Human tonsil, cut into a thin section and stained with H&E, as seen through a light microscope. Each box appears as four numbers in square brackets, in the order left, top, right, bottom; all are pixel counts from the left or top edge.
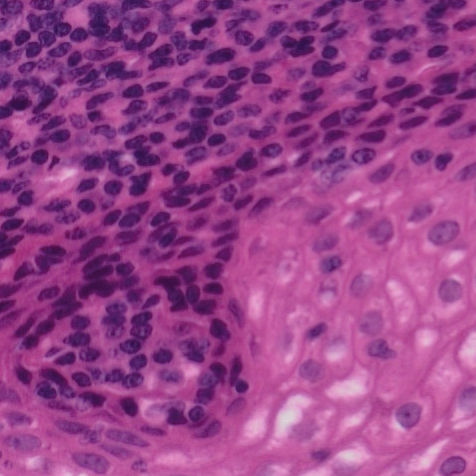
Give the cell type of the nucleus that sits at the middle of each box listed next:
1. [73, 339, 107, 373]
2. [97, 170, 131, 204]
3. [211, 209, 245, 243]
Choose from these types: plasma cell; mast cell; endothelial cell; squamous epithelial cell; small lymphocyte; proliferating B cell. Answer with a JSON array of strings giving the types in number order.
["plasma cell", "plasma cell", "squamous epithelial cell"]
